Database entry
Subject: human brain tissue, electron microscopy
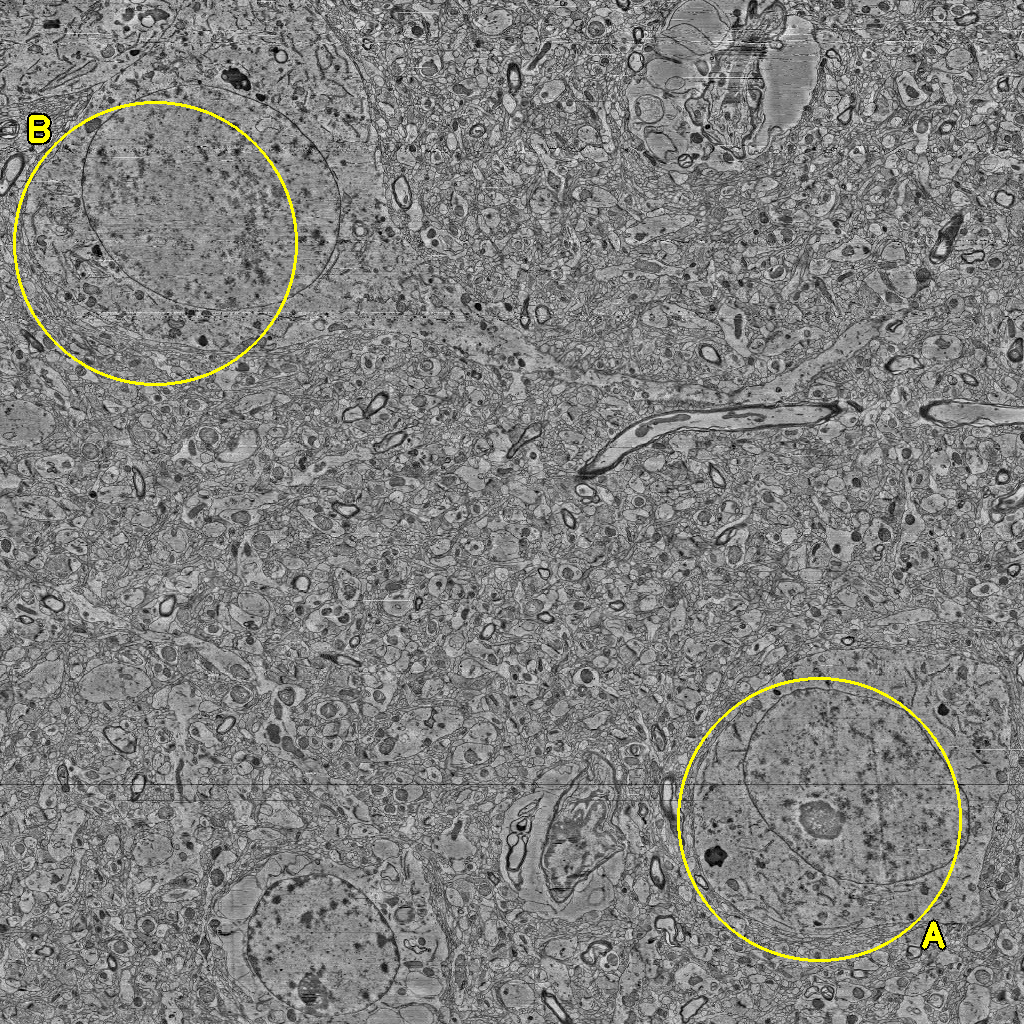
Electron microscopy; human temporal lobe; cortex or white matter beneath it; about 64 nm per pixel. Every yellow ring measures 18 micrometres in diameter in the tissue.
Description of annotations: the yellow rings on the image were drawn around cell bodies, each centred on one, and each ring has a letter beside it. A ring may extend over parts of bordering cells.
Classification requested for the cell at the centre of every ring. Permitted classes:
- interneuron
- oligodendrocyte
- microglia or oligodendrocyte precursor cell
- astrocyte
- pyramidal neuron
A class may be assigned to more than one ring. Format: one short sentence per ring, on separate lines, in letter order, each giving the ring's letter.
The cell body at the centre of ring A is a pyramidal neuron.
The cell body at the centre of ring B is a pyramidal neuron.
